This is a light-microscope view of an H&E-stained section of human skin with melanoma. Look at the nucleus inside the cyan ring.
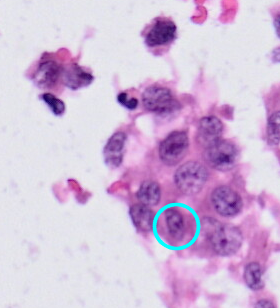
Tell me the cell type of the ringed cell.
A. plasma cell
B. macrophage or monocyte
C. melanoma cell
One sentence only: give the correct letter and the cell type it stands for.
Among the choices, option C is correct, the ringed cell being a melanoma cell.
